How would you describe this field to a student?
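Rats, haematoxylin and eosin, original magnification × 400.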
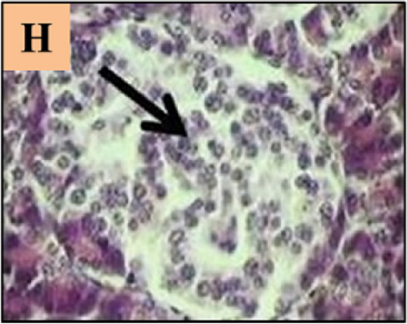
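A rounded, pale-staining cluster of closely packed cells fills the centre, surrounded by darker purple glandular tissue. The cells of the cluster have round, fairly uniform nuclei and scant, lightly stained cytoplasm, and they lie in cords separated by fine clear spaces. Around them the larger cells are arranged in small groups with deeper purple cytoplasm. The pale rounded cluster is an islet of the pancreas, its endocrine cells set among the exocrine acini; here it looks well populated with cells and fairly sharply bounded.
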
